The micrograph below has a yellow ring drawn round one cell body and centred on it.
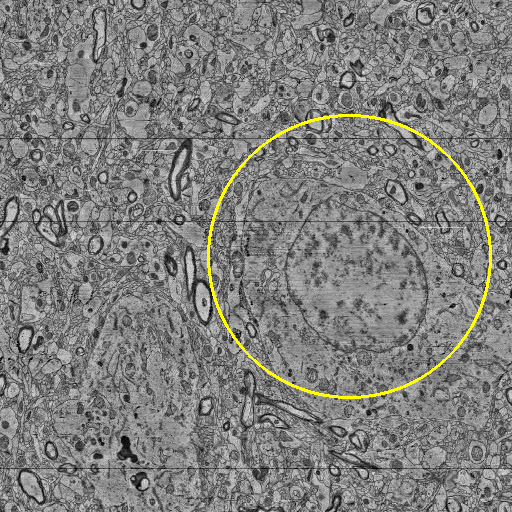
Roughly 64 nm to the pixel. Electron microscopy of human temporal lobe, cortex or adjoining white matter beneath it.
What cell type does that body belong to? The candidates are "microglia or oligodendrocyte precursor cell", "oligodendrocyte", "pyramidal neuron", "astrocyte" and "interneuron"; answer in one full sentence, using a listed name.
This is a pyramidal neuron, the cell whose body lies at the centre of the ring.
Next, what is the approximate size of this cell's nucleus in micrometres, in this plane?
In this plane, the nucleus of the cell at the centre of the ring is about 10 micrometres across.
